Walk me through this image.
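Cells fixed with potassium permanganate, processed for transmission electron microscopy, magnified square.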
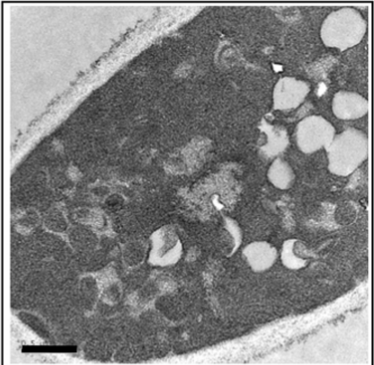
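This is a high-magnification electron micrograph of part of a walled cell, bounded along the edge by a pale cell wall. The cytoplasm is dense and dark, and inside it lies a cluster of pale, round to irregular vacuole-like compartments, some of them crescent-shaped or partly collapsed. Fainter ring-like and whorled membranous profiles are scattered through the rest of the cytoplasm. These internal membranes and vacuoles have piled up in numbers well beyond what an ordinary cell would hold.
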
